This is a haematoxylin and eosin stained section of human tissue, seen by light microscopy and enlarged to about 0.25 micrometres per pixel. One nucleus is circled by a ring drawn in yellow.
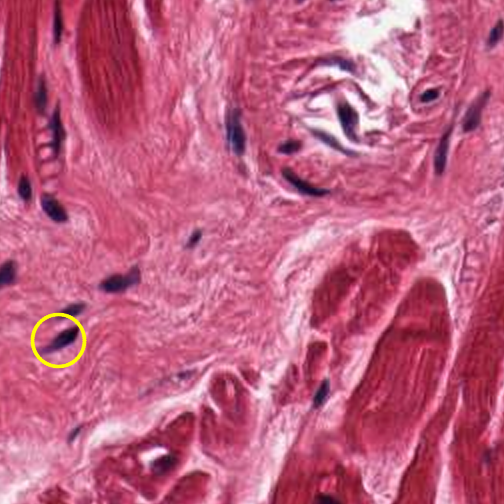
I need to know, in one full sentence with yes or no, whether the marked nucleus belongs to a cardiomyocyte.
No, the marked nucleus is attributed to a supporting cell, not to a cardiomyocyte.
